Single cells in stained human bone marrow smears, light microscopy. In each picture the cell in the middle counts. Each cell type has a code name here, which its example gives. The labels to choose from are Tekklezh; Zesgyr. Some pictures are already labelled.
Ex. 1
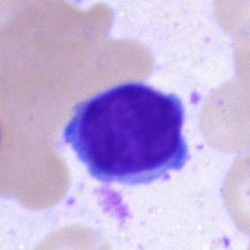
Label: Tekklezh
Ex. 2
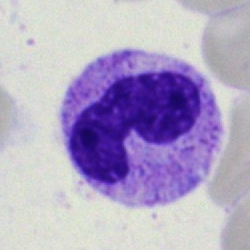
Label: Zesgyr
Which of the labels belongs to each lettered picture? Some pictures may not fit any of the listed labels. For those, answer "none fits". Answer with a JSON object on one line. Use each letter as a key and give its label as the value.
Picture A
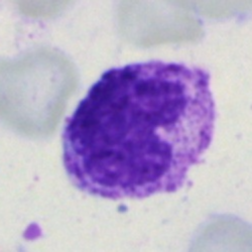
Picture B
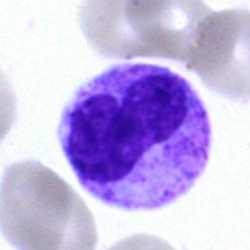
{"A": "none fits", "B": "none fits"}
